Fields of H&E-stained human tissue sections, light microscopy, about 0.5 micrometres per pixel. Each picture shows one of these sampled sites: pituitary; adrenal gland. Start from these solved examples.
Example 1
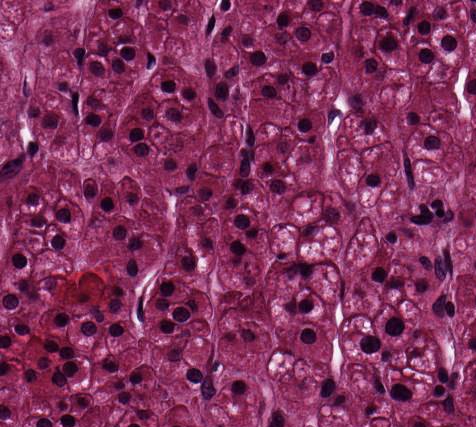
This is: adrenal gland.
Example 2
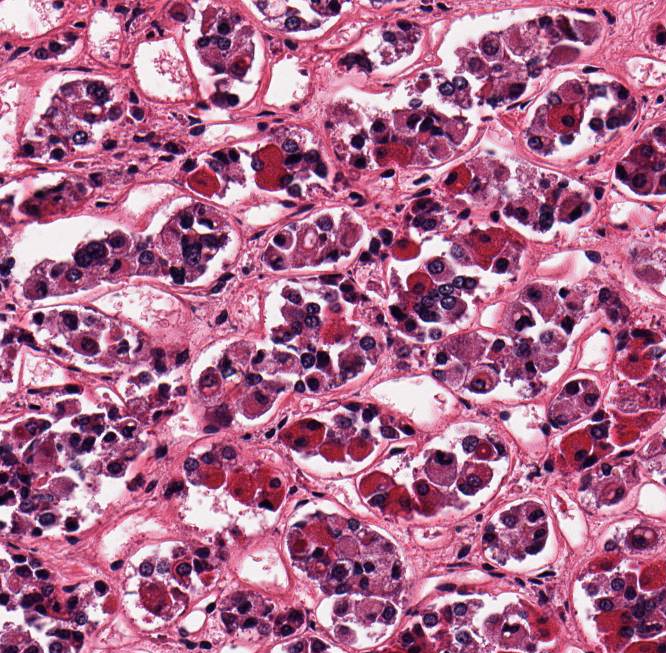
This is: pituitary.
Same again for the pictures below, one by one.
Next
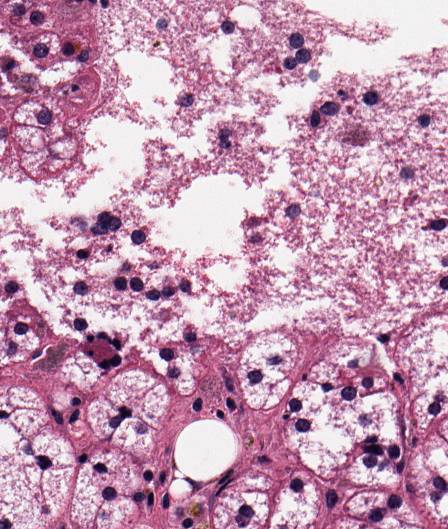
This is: adrenal gland.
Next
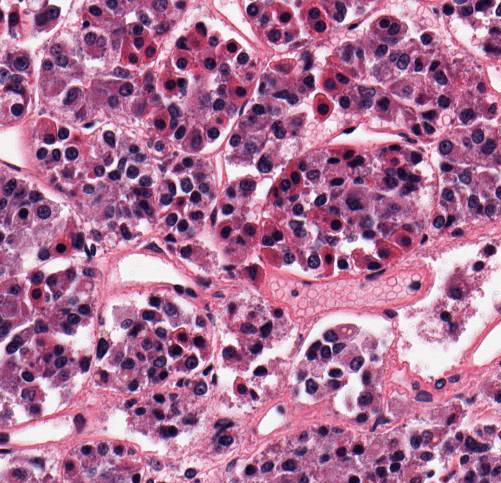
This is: pituitary.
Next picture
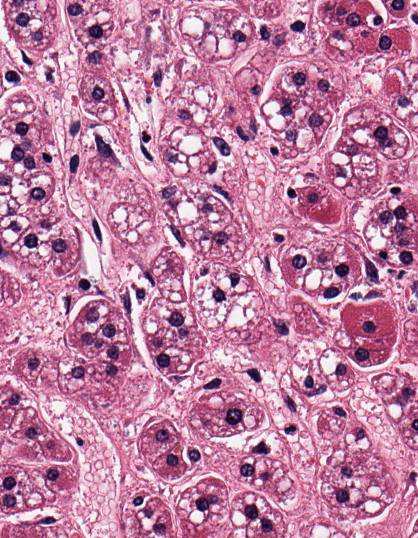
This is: adrenal gland.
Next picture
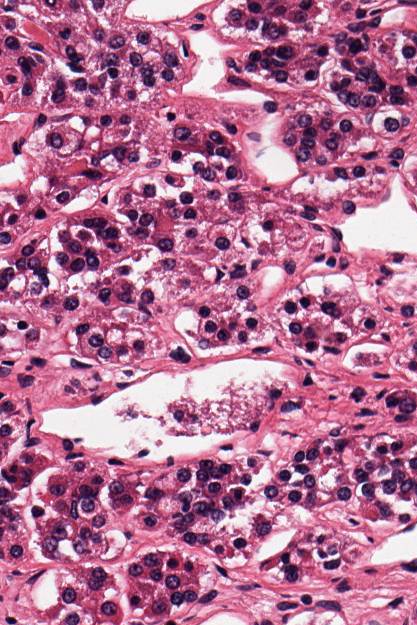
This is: pituitary.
